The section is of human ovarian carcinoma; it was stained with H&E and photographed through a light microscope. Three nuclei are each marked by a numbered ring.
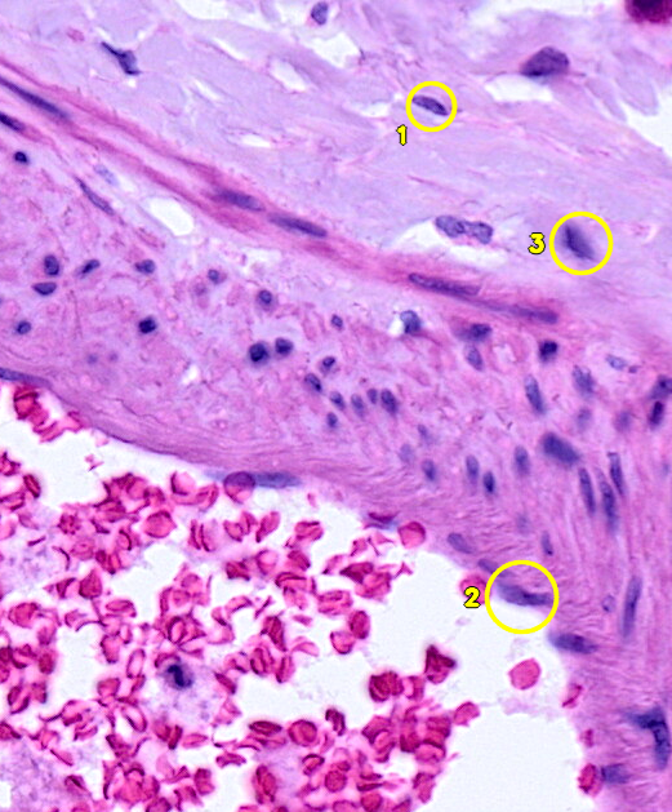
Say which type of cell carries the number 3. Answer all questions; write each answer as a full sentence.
The marked nucleus 3 is that of a fibroblast.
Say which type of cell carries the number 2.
The cell carrying label 2 is identified as an endothelial cell.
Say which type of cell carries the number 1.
The cell pointed out by number 1 is a fibroblast.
